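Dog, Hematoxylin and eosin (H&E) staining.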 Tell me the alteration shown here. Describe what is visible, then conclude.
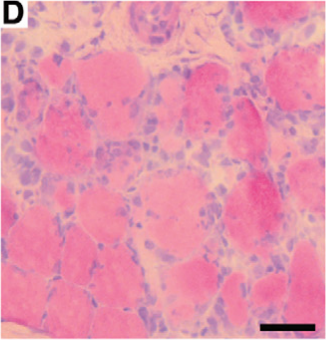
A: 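Rounded muscle fibers with pale, uneven pink cytoplasm. Many small cells with dark purple nuclei crowd the spaces between fibers. Fibers no longer tightly packed polygons.
Conclusion: massive necrotic fibers with inflammatory infiltrate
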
